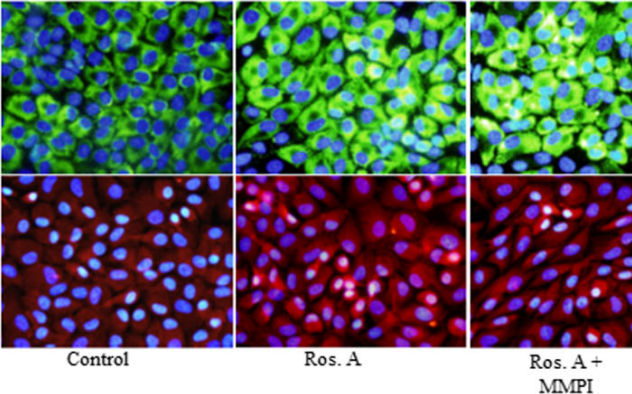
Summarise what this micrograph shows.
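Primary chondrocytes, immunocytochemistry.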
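In the upper row the green stain fills the cytoplasm around each nucleus, so the cells appear as rounded to polygonal bodies packed side by side with thin dark gaps between them. In the lower row the red stain outlines the cytoplasm, and many of these cells look flatter and more elongated, some almost spindle-shaped.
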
